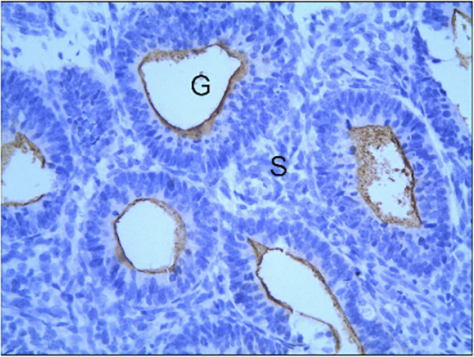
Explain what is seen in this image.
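Endometrium cut across, showing several endometrial glands set in endometrial stroma. Brown staining is confined to a thin line along the luminal surface of the lining, with some brown material lying in one lumen. The cytoplasm below this line and the nuclei stay blue. Between the glands the stroma is densely cellular, made of small cells with round to oval blue nuclei and little visible cytoplasm, without brown stain.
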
